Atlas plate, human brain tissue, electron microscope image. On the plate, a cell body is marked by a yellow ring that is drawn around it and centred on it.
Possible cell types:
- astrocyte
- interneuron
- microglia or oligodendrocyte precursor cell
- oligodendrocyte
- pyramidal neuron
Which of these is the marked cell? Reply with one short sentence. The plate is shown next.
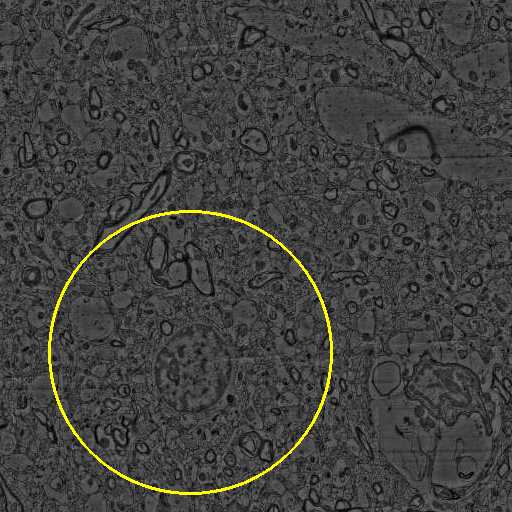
The marked cell is an oligodendrocyte.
